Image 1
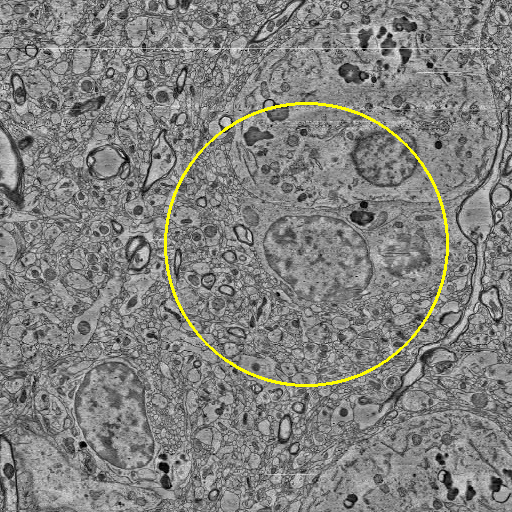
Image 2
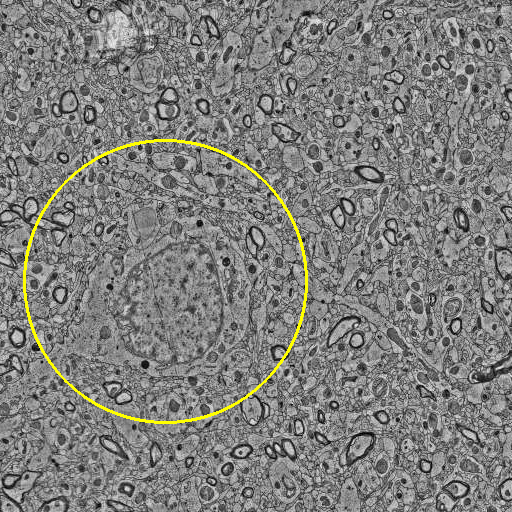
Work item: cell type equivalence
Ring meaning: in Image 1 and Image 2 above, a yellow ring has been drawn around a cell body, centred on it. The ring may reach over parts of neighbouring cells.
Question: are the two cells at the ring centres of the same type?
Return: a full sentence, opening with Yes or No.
No, the two centred cells are of two types.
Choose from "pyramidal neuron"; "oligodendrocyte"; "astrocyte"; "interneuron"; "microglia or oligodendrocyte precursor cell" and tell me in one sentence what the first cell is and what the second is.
What the first ring is centred on is an oligodendrocyte; what the second ring is centred on is an interneuron.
